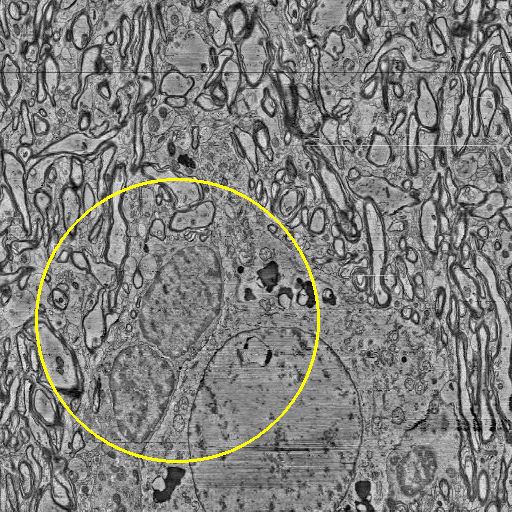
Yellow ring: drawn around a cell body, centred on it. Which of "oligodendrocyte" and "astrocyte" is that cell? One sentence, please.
That cell body is from an oligodendrocyte.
